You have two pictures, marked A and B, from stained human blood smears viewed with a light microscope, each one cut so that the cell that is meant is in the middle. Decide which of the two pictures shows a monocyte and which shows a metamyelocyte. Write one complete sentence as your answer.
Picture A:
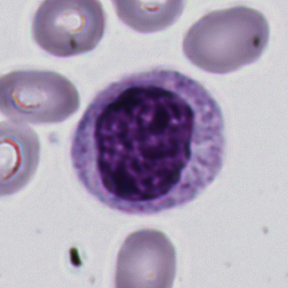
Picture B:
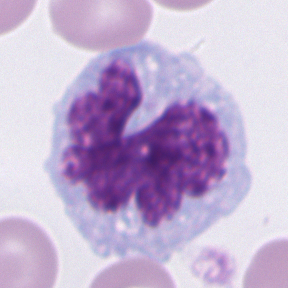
Picture A shows a metamyelocyte and picture B shows a monocyte.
